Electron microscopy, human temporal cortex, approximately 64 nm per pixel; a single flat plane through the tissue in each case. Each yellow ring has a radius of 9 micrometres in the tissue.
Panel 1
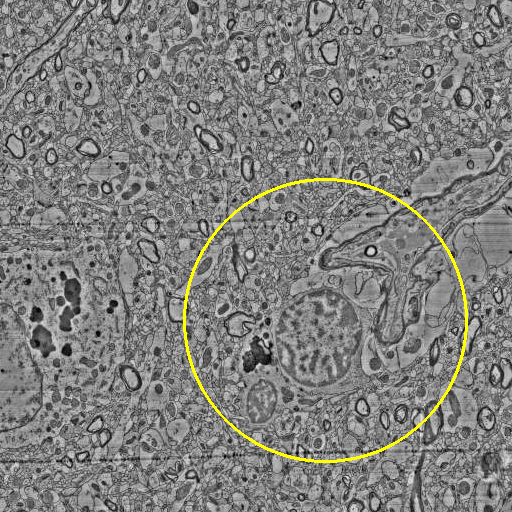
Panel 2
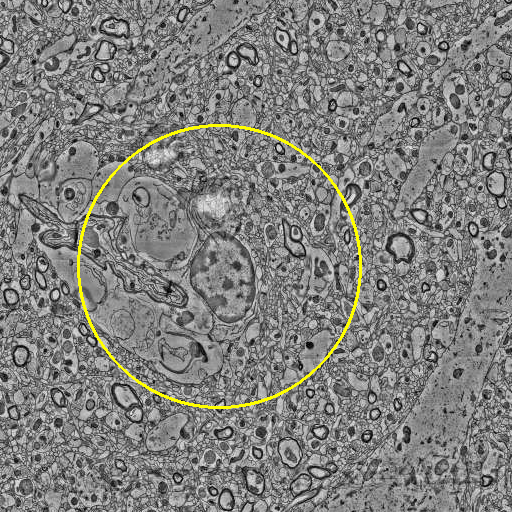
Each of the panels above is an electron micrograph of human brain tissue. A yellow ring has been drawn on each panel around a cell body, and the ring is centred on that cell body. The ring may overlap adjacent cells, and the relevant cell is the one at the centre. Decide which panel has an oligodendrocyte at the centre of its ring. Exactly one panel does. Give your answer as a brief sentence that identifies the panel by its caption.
Panel 1 is the one with it at the centre of the ring.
